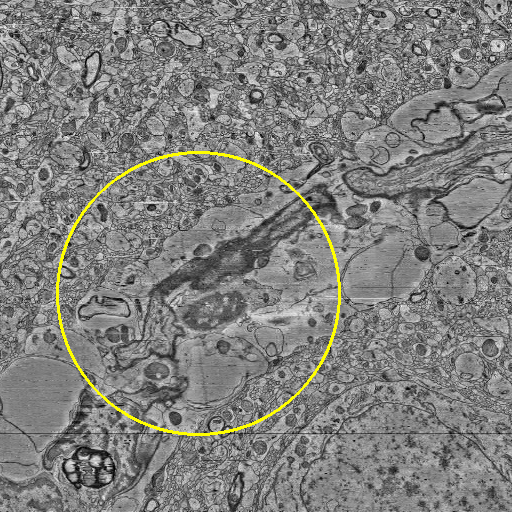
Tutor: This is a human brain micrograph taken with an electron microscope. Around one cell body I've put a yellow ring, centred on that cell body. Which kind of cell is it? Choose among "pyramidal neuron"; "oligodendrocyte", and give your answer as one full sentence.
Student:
Going by your list, the cell centred in the yellow ring is an oligodendrocyte.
